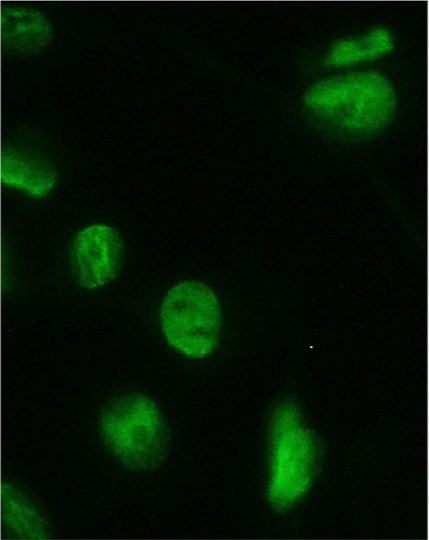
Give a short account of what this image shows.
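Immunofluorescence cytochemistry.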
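The green within each nucleus is uneven and finely mottled, with a few darker spots. The cytoplasm around the nuclei stays nearly dark.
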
